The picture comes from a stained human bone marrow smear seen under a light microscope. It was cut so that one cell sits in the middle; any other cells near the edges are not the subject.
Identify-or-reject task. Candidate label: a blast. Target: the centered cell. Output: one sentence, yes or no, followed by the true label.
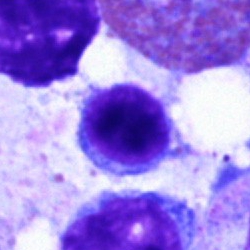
No, it isn't a blast; what sits in the middle is a lymphocyte.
